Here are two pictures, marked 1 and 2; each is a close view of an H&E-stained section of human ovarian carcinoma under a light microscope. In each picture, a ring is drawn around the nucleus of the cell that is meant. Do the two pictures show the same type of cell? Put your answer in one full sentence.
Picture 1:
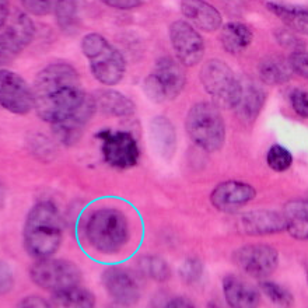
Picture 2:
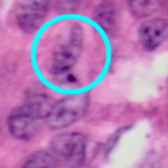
No, they differ: the cell is a carcinoma cell in picture 1 and a “macrophage or monocyte” in picture 2.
